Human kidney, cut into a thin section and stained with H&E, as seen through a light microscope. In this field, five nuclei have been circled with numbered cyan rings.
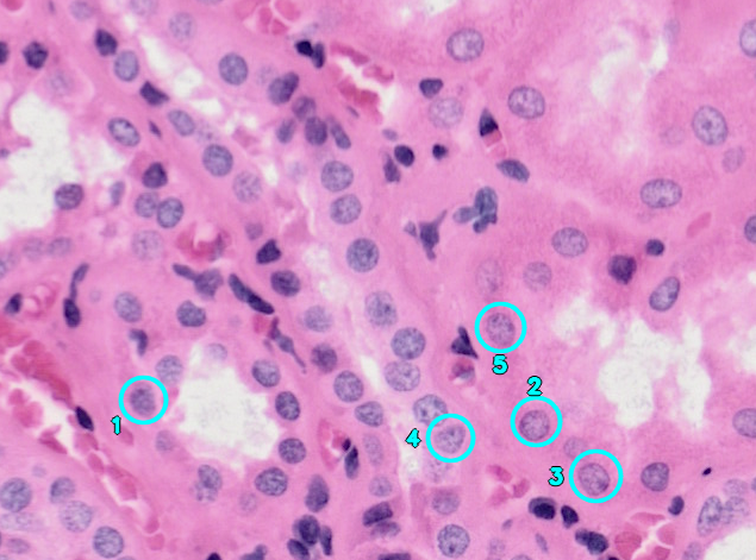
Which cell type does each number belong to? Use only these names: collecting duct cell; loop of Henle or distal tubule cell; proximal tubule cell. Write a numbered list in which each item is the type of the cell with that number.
1. loop of Henle or distal tubule cell
2. proximal tubule cell
3. proximal tubule cell
4. collecting duct cell
5. proximal tubule cell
